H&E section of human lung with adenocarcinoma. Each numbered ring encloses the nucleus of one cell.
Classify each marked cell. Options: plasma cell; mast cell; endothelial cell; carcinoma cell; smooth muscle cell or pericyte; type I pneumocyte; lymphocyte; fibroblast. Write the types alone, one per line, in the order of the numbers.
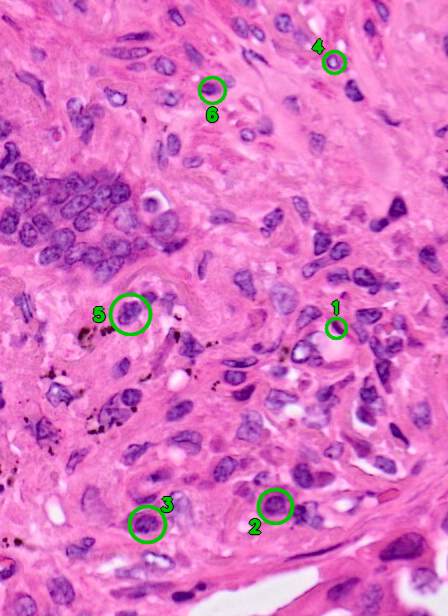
endothelial cell
plasma cell
plasma cell
smooth muscle cell or pericyte
lymphocyte
smooth muscle cell or pericyte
